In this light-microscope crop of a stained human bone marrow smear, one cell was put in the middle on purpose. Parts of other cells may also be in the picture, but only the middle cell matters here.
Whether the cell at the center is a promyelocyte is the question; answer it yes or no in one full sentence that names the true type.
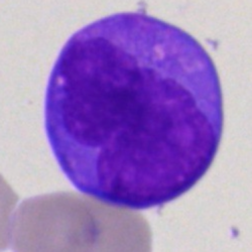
No, not a promyelocyte but a blast is the cell in the centre.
